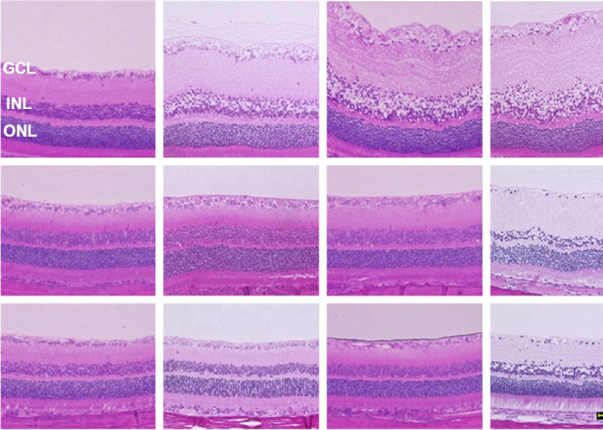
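This is a grid of retinal cross-sections in pink and purple. Each shows layered bands, with a thin row of cells on the inner surface, a middle band of dark purple nuclei and a thicker, densely packed band of dark nuclei beneath. In several sections the inner layers look swollen, pale and spongy, and their nuclei are scattered rather than in orderly rows, which points to retinal degeneration.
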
